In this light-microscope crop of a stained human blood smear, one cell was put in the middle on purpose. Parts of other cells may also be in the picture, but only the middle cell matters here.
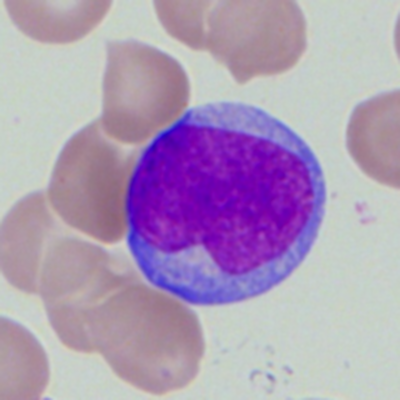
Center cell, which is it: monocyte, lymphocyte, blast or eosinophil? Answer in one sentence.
The single cell at the center of the crop is a blast.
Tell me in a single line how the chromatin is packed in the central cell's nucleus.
Check the chromatin: it is fine and not coarsely clumped.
